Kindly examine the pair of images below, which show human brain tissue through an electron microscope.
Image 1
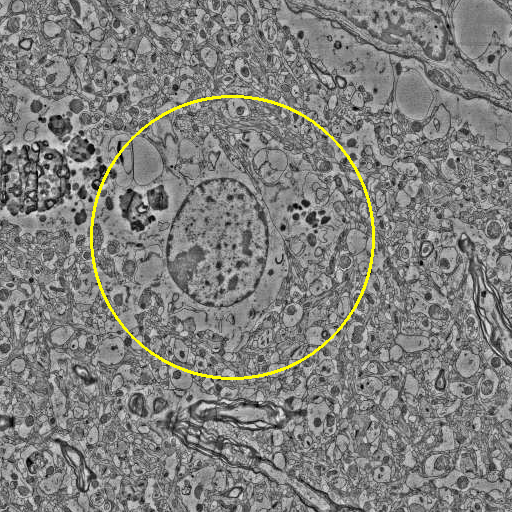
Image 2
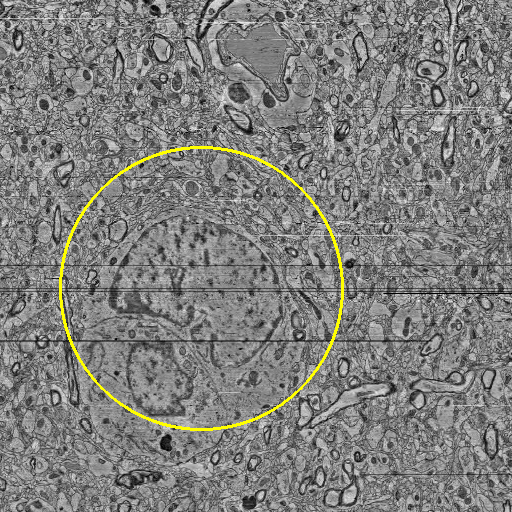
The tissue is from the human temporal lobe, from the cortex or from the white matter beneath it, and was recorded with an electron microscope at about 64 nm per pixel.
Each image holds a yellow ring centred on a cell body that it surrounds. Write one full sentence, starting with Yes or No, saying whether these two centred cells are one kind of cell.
No, the cells at the centres of the yellow rings belong to two kinds of cell.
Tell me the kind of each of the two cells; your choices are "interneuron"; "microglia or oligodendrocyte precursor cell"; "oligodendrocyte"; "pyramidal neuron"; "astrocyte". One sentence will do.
The ringed cell is an astrocyte in the first picture and a microglial cell or oligodendrocyte precursor cell in the second picture.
